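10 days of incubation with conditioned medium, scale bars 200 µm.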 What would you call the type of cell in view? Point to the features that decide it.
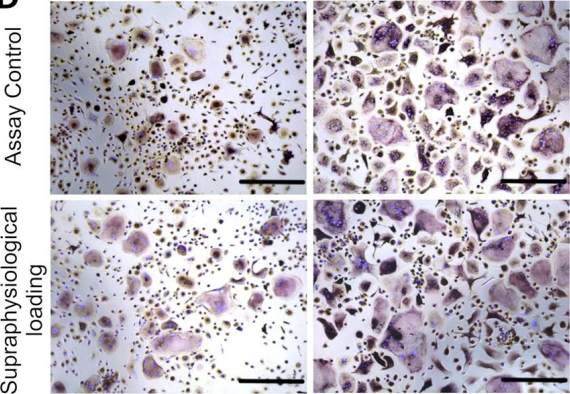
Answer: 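Osteoclast. Large, flat, purple-stained cells with several nuclei each. Numerous small round cells lie between the large cells.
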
